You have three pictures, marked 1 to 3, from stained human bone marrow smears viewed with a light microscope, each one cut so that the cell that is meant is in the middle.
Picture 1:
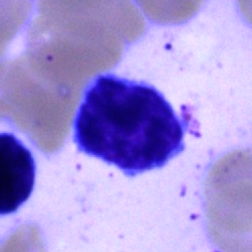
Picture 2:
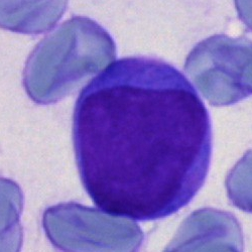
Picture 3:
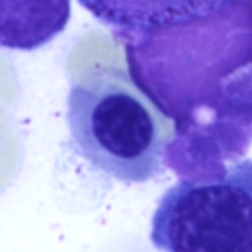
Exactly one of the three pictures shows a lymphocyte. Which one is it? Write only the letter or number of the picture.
1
